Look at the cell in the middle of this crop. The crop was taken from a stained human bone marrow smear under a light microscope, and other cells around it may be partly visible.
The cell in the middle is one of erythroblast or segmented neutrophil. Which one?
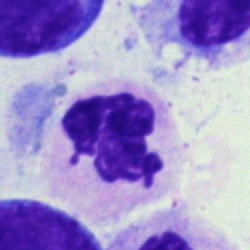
segmented neutrophil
